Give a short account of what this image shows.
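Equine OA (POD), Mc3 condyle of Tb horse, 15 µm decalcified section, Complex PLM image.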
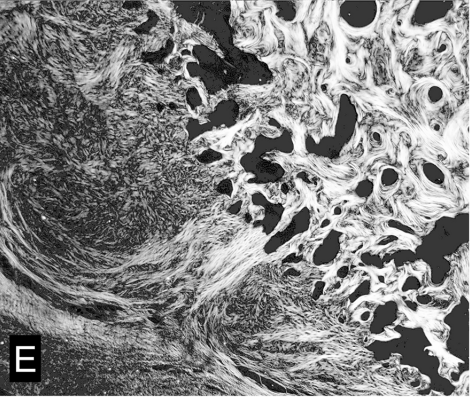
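A cavity in bone is filled with dense fibrous connective tissue, whose collagen bundles appear as bright, wavy strands packed closely together and sweeping in curved streams across the left of the field. On the right, bone trabeculae surrounding dark spaces show bright lamellar collagen, and the fibrous tissue meets the bone surfaces directly.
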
